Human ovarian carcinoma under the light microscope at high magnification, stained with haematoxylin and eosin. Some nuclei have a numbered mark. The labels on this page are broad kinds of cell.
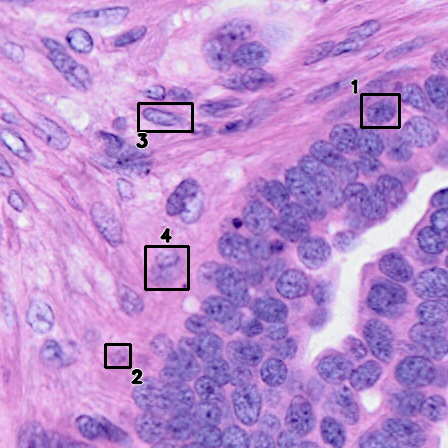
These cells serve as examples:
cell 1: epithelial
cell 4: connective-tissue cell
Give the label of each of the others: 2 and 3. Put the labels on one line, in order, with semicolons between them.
connective-tissue cell; connective-tissue cell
